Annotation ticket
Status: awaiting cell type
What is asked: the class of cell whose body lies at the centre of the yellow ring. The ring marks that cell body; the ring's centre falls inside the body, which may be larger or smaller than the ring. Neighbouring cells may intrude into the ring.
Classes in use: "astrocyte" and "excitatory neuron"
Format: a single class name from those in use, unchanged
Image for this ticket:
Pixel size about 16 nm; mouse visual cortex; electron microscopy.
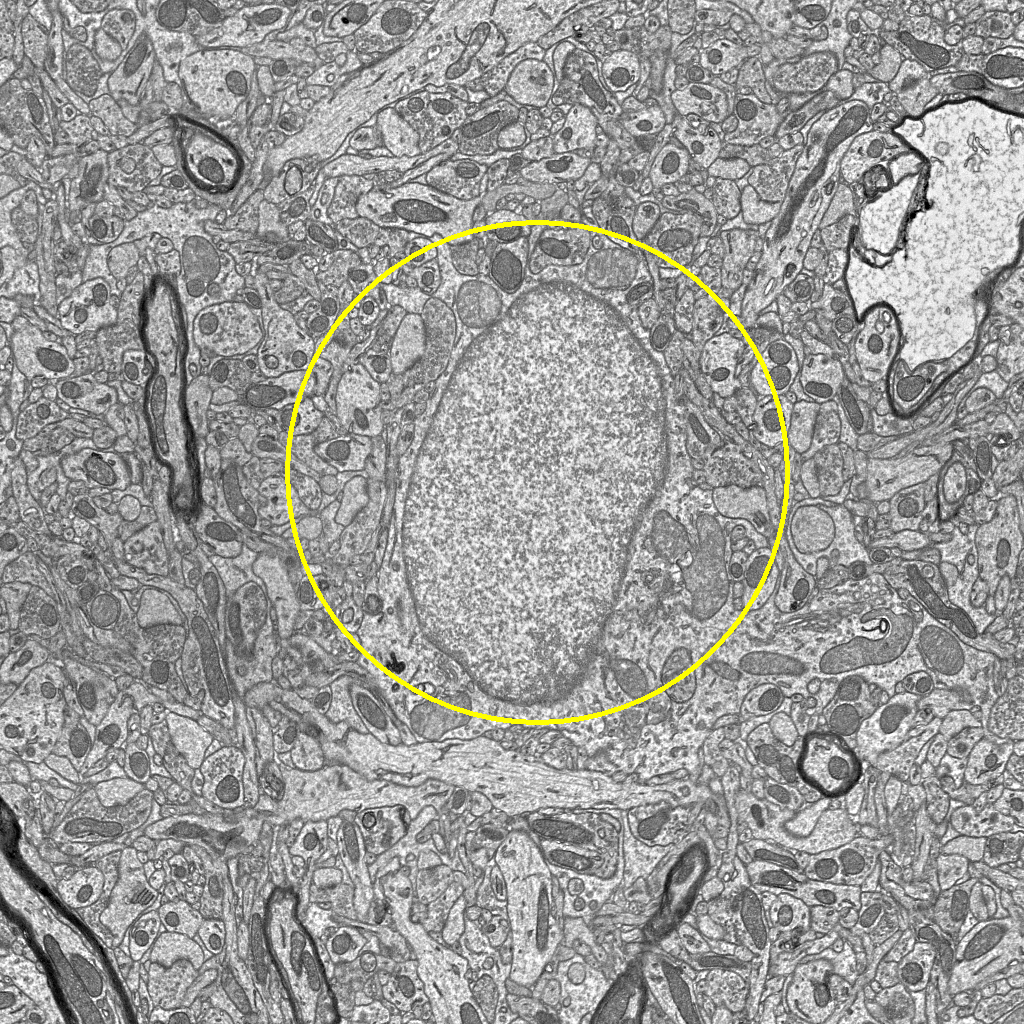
astrocyte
